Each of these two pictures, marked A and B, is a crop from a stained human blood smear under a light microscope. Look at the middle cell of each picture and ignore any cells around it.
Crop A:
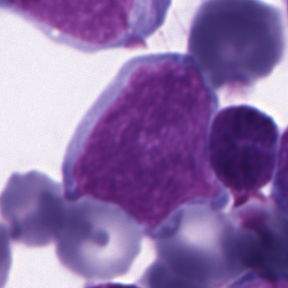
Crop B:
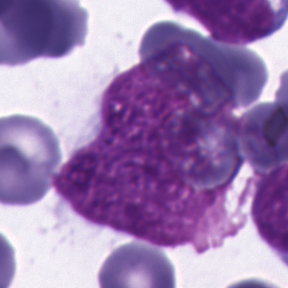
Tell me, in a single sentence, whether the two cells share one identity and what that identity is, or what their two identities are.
No, crop A is of a myeloblast, and crop B is of a smudge cell.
